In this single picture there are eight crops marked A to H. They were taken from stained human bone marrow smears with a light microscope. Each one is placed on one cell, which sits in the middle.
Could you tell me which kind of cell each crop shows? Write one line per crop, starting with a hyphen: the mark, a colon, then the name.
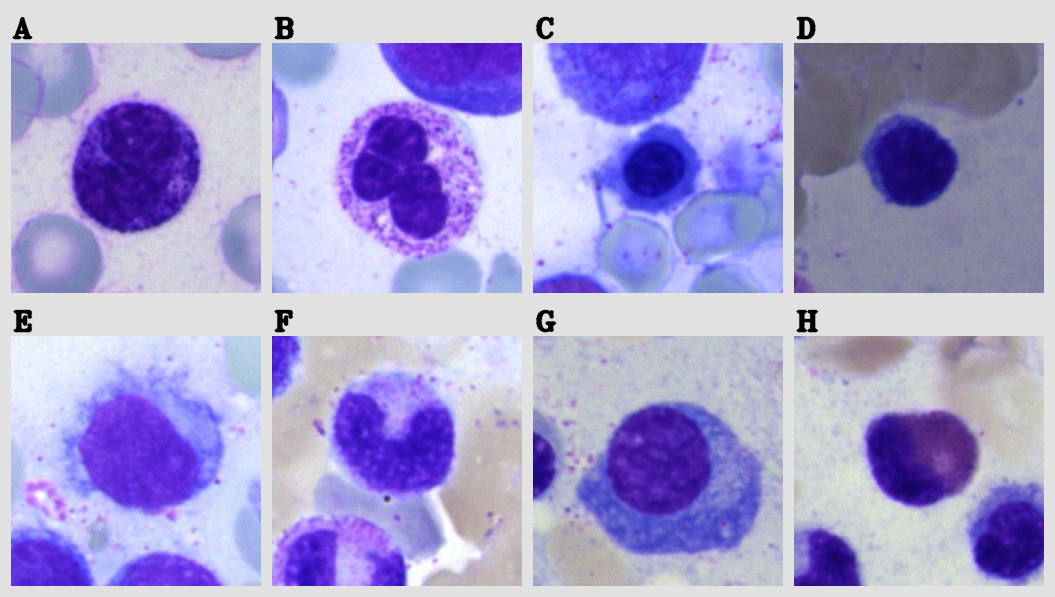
- A: basophil
- B: segmented neutrophil
- C: normoblast
- D: lymphocyte
- E: hairy cell
- F: band neutrophil
- G: plasma cell
- H: basophil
